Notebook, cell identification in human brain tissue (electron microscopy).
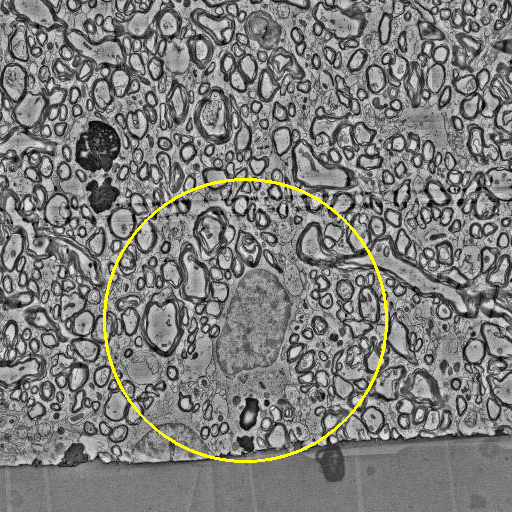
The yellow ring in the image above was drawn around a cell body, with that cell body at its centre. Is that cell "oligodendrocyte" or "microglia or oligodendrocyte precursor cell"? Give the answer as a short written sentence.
The cell in the ring is an oligodendrocyte.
